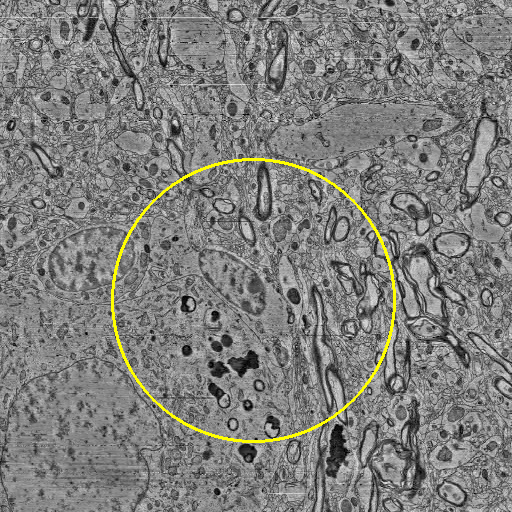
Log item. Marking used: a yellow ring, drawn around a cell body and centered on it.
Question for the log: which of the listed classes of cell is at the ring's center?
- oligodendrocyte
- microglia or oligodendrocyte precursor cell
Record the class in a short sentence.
At the center of the ring lies a microglial cell or oligodendrocyte precursor cell.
